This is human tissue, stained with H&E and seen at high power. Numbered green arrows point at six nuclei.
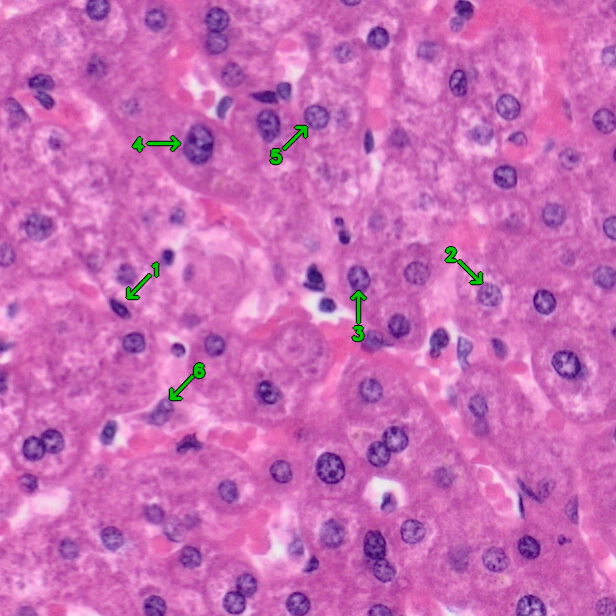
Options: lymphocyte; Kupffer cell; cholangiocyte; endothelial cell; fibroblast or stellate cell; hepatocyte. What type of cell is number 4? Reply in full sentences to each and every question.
Among the marked cells, number 4 is a hepatocyte.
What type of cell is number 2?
The cell whose nucleus carries the number 2 is a hepatocyte.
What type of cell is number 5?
The cell referenced by the number 5 is a hepatocyte in this field.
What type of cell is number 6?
Number 6 among the marked cells is a Kupffer cell.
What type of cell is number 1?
Belonging to a fibroblast or stellate cell is the nucleus that carries the number 1.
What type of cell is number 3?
The cell indicated by marker 3 is a hepatocyte in this section.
